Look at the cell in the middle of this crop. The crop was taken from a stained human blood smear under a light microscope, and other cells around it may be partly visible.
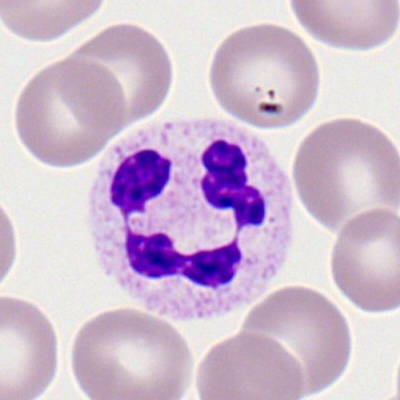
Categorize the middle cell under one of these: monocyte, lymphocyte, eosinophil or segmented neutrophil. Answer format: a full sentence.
By classification, the middle cell of this crop is a segmented neutrophil.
